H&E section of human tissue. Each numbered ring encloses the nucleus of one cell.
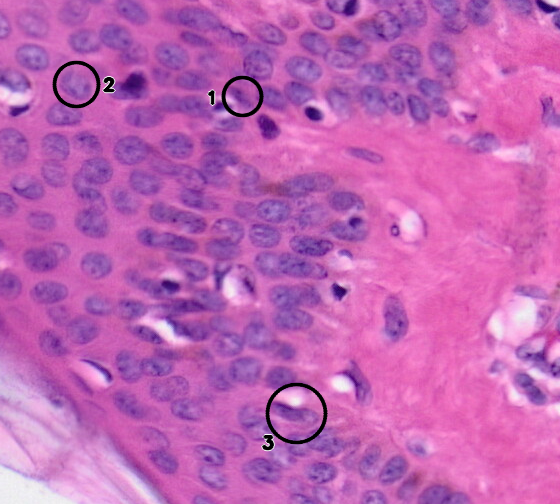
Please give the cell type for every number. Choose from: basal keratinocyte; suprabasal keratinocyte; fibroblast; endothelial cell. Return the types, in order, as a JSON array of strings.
["basal keratinocyte", "suprabasal keratinocyte", "basal keratinocyte"]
